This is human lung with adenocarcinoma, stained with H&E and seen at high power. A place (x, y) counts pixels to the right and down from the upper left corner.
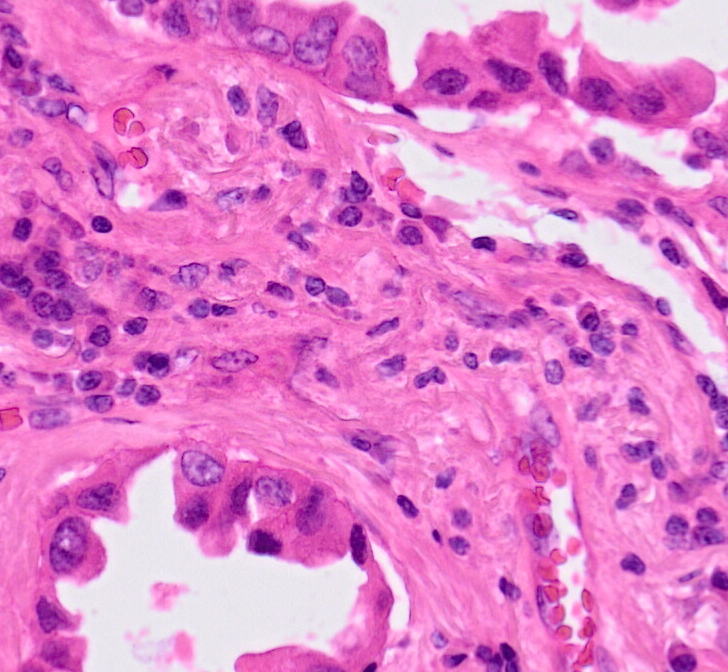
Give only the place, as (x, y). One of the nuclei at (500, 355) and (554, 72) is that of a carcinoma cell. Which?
(554, 72)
